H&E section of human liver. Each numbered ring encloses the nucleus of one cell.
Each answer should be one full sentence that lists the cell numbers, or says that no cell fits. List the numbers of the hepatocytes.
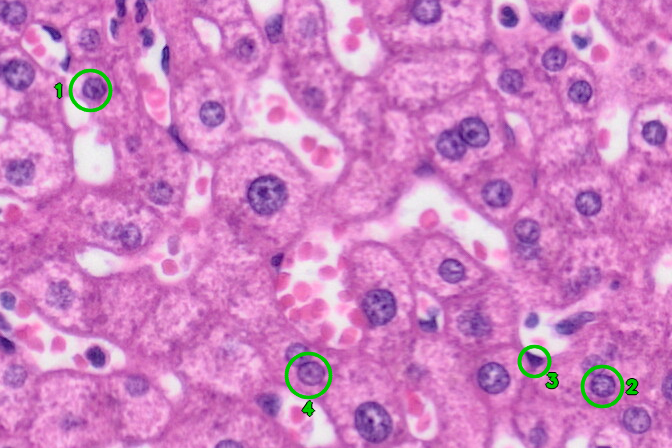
Identified as hepatocytes are the cells numbered 1, 2 and 4.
